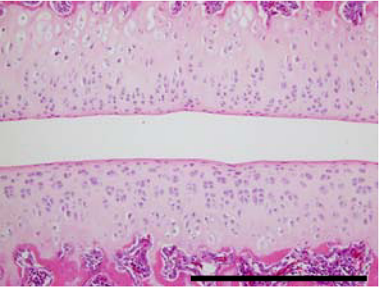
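Articular cartilage of two opposing joint surfaces separated by a clear joint space, with pale pink matrix. Chondrocytes with purple nuclei lie in lacunae, flatter near the surface and in small clusters deeper down. The surfaces are smooth and the matrix even. Bone with marrow lies beneath each cartilage layer.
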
